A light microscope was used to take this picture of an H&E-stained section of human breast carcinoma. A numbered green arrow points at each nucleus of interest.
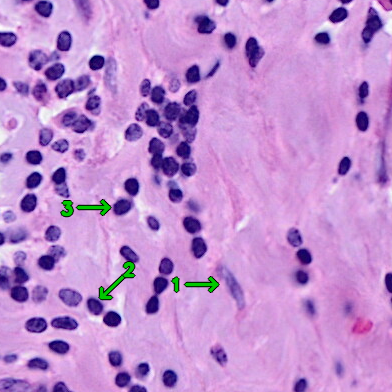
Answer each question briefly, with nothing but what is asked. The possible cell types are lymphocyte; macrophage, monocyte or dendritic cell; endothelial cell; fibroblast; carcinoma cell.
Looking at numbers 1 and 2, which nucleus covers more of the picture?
1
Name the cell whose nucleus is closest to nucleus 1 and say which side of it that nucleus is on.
a lymphocyte, above and to the left of nucleus 1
